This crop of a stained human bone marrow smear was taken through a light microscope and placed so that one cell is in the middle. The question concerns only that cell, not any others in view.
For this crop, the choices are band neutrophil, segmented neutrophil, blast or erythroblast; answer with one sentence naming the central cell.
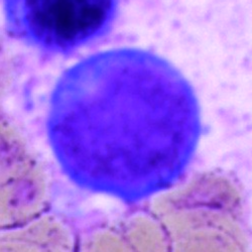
Classification of the middle cell gives a blast.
